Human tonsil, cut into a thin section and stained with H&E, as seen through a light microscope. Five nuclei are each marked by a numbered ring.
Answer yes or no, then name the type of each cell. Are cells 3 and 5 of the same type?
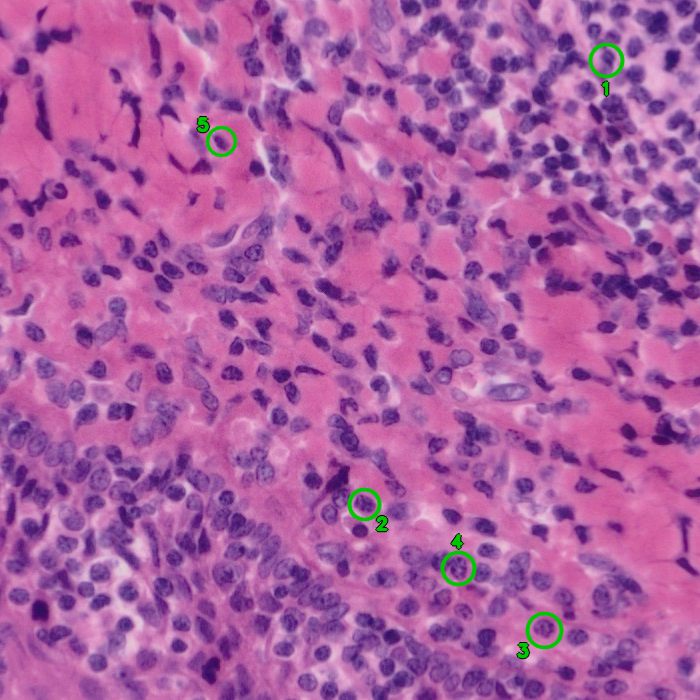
No, listen: cell 3 is a plasma cell and cell 5 is a mast cell.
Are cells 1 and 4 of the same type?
No, whereas cell 4 is a plasma cell, cell 1 is a small lymphocyte.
